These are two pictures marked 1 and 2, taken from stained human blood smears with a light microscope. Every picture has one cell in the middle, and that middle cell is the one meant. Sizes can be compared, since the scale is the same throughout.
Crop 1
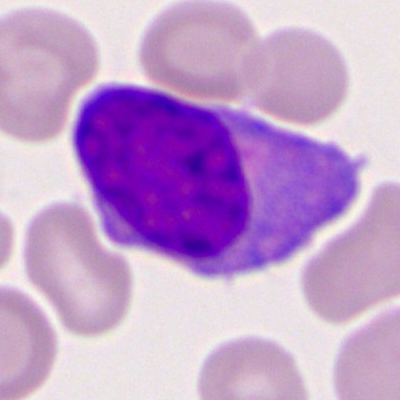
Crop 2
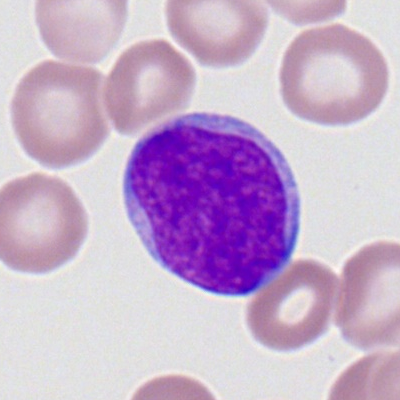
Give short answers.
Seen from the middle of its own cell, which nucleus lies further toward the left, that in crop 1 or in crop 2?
1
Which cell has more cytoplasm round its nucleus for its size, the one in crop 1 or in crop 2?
1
